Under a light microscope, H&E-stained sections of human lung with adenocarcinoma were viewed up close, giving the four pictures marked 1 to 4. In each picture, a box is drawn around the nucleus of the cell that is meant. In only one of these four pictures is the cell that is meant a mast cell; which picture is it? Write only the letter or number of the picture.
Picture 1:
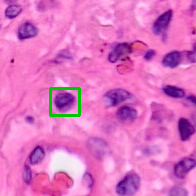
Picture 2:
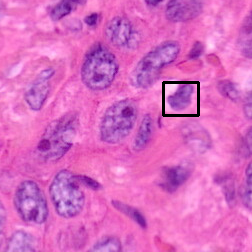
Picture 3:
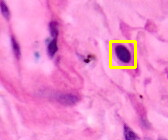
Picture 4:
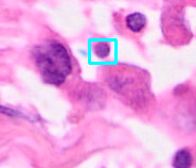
3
